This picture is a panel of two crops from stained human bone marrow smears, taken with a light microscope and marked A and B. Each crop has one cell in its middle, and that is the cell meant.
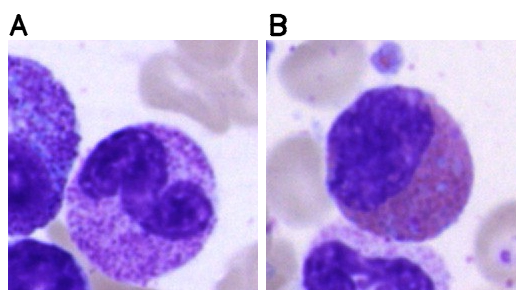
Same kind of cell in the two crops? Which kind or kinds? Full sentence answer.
No, a band neutrophil is in crop A, and an eosinophil is in crop B.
